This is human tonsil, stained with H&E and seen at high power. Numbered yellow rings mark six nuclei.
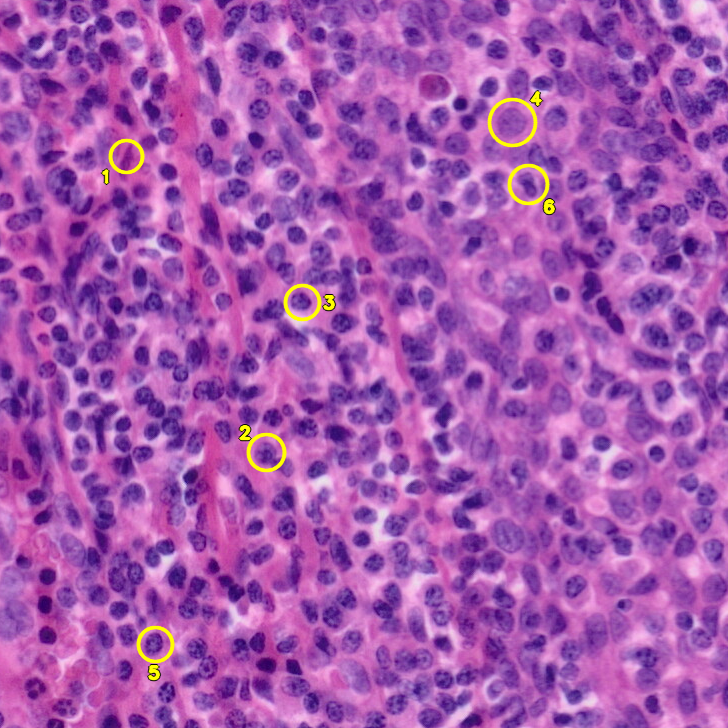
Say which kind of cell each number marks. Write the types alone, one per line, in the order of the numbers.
endothelial cell
plasma cell
plasma cell
squamous epithelial cell
plasma cell
squamous epithelial cell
